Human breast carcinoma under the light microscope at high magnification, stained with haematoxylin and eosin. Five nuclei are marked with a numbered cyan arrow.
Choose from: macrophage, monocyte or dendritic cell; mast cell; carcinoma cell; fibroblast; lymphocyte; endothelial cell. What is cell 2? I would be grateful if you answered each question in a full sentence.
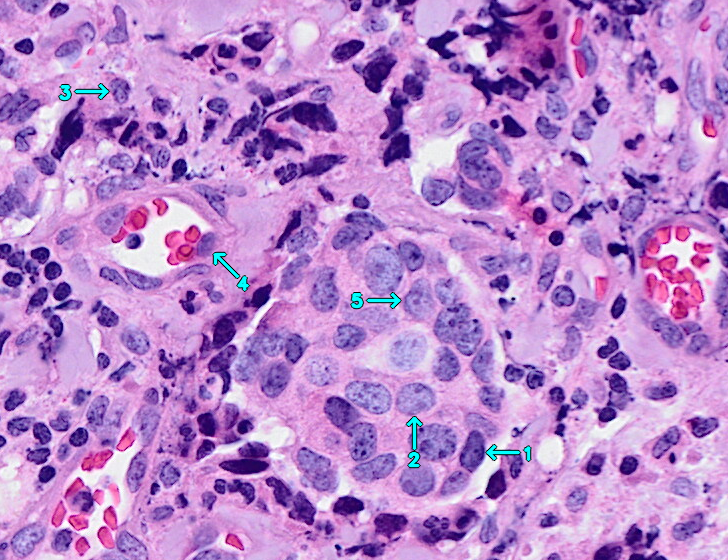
The identity of cell 2 is that of a carcinoma cell.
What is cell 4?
As for number 4, that cell is an endothelial cell.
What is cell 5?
Within this field of view, the cell labelled 5 is a carcinoma cell.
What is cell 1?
Looking at the numbered marks, cell 1 is a carcinoma cell.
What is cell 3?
The cell with the number 3 is a macrophage, monocyte or dendritic cell.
